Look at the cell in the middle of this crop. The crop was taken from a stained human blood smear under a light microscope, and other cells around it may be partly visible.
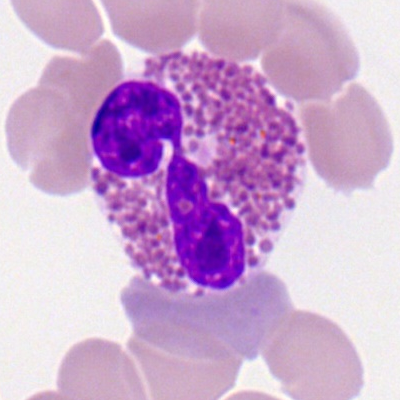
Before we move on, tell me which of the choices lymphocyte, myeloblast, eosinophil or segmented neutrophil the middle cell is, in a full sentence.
The cell of interest, in the center, is an eosinophil.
